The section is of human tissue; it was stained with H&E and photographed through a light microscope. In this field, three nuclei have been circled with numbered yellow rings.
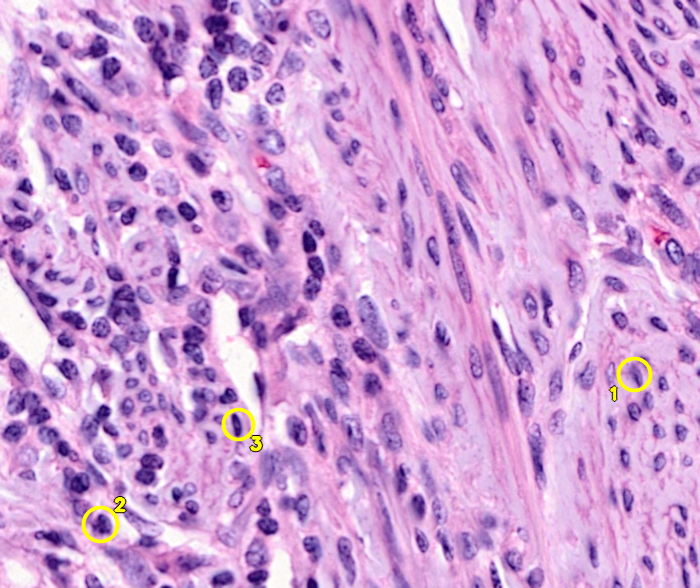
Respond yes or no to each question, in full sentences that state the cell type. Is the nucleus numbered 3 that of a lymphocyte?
Yes, the cell sitting at number 3 is a lymphocyte.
